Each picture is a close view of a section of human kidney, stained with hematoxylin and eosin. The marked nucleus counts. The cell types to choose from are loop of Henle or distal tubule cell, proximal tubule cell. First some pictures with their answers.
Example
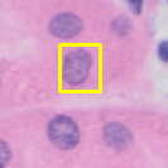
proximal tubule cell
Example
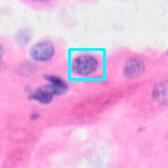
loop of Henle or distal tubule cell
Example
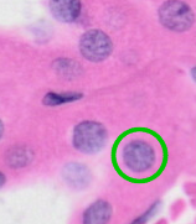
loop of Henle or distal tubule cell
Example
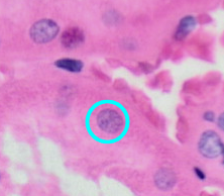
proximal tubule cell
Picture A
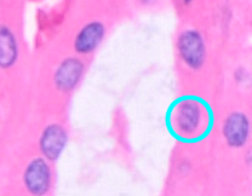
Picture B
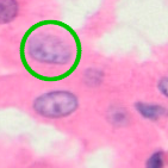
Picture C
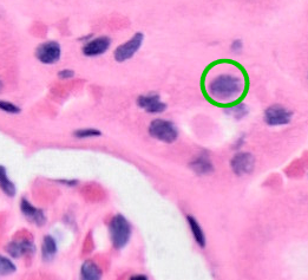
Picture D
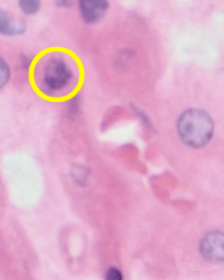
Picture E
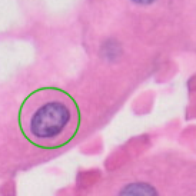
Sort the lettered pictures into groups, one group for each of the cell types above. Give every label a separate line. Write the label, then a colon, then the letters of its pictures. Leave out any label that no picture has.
loop of Henle or distal tubule cell: A, C
proximal tubule cell: B, D, E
